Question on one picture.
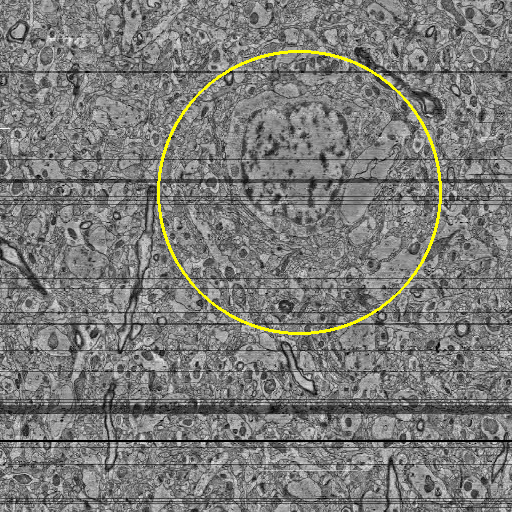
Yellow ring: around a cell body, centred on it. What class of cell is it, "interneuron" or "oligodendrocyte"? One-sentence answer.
This is an interneuron, the cell the ring is centred on.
